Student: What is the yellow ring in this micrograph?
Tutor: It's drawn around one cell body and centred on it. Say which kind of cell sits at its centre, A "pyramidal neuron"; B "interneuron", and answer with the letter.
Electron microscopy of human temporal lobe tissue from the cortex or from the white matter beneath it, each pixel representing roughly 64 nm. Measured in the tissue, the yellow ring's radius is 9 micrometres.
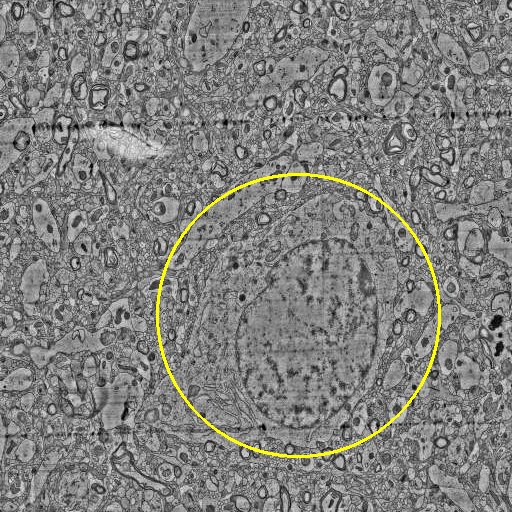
B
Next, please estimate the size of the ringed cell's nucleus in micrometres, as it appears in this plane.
In this plane the nucleus is about 12 micrometres by 9.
